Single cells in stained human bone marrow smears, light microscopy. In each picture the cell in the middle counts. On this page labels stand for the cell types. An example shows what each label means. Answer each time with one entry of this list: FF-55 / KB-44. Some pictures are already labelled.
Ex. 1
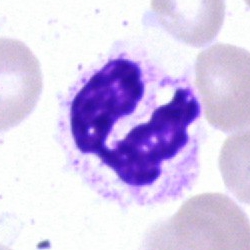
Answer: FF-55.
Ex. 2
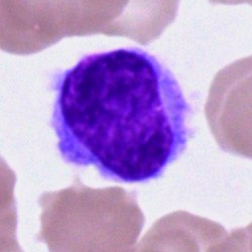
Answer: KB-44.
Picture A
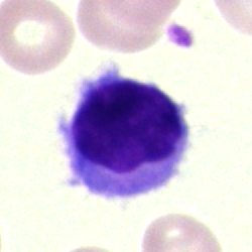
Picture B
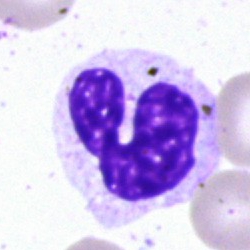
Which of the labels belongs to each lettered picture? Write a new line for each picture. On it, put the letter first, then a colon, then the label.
A: KB-44.
B: FF-55.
